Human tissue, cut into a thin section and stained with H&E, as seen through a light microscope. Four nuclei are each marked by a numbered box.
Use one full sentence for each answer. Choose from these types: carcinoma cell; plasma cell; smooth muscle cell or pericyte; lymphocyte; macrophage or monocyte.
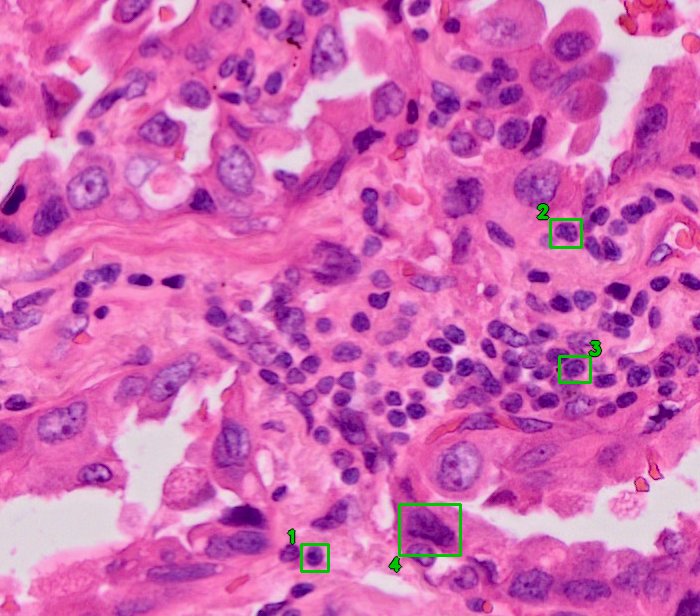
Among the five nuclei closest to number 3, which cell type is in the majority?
Macrophages or monocytes account for more than half of the five nuclei nearest to number 3.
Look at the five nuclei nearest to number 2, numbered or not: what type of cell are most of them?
The majority of the five nuclei closest to number 2 belong to lymphocytes.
